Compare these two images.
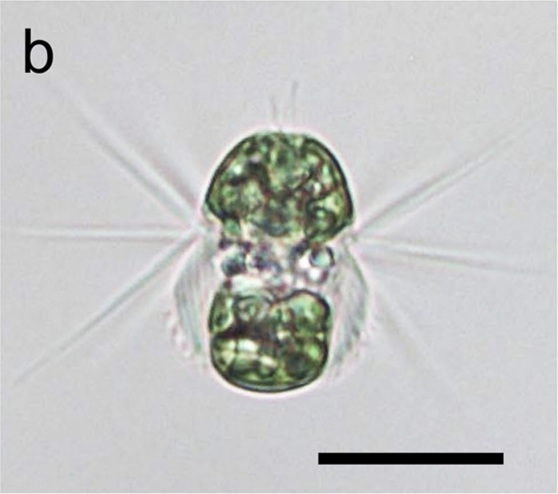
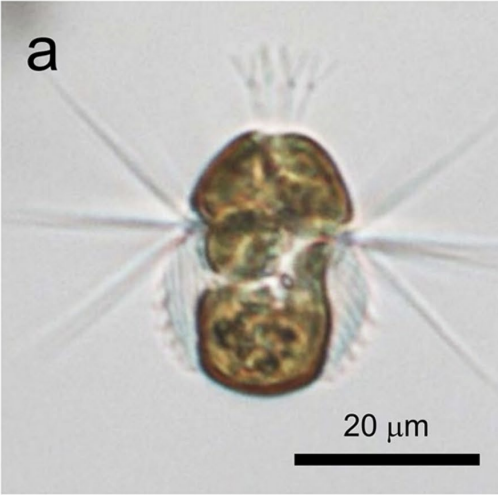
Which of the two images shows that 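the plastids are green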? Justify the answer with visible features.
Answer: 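First image: the cell interior is filled with green bodies. Second image: the cell interior is filled with red-brown bodies.
Hence: the first image.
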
